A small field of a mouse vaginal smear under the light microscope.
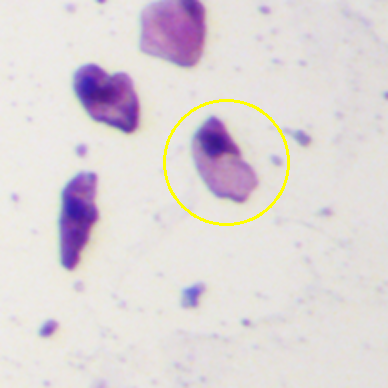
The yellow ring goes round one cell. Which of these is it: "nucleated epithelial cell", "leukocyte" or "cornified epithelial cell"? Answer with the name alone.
nucleated epithelial cell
